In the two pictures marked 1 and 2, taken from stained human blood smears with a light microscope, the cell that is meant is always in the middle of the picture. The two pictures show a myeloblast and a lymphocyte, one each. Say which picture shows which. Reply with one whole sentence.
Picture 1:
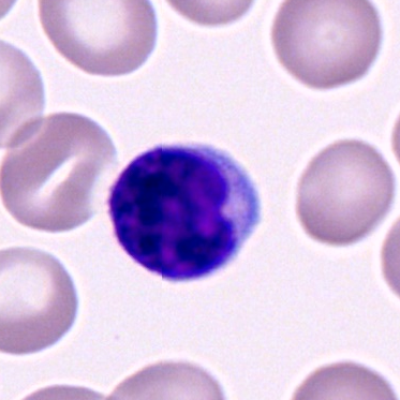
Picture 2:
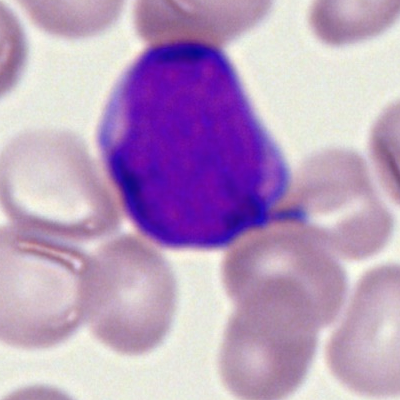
Picture 1 shows a lymphocyte and picture 2 shows a myeloblast.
